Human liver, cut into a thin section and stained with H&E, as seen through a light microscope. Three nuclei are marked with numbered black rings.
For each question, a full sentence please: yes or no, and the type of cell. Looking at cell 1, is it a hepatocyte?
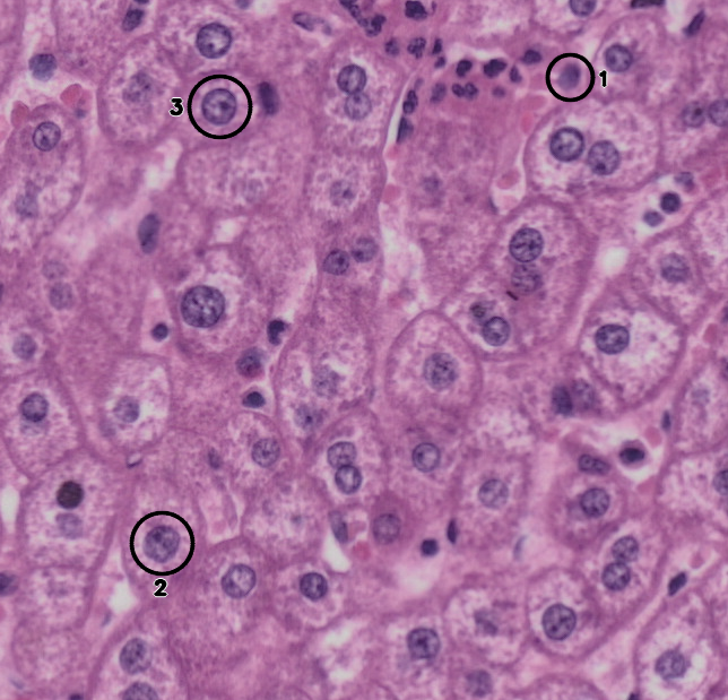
No, what number 1 shows is an endothelial cell, not a hepatocyte.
